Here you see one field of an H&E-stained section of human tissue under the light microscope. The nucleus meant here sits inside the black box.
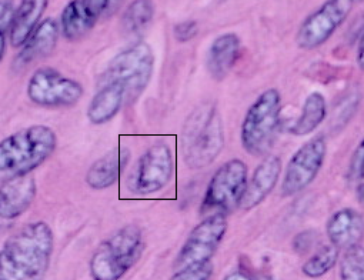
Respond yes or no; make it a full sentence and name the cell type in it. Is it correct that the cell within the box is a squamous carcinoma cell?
Yes, in short, the cell within the box is a squamous carcinoma cell here.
